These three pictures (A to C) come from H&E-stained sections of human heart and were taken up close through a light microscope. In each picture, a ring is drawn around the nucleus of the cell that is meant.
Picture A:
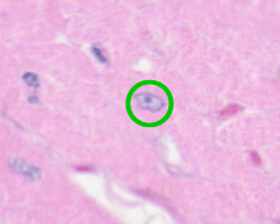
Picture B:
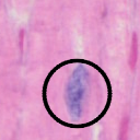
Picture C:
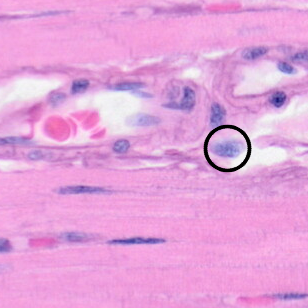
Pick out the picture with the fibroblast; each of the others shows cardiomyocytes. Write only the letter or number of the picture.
C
